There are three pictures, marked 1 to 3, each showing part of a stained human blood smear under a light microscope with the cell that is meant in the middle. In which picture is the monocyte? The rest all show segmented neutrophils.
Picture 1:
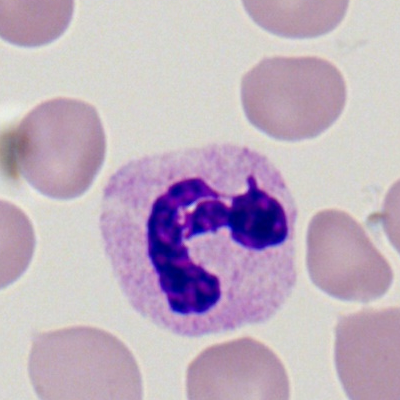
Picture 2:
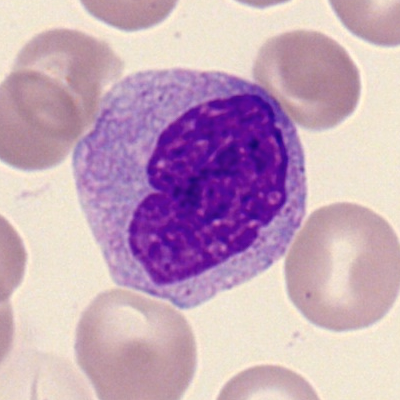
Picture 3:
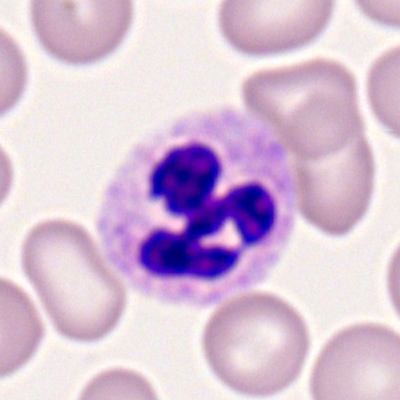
2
